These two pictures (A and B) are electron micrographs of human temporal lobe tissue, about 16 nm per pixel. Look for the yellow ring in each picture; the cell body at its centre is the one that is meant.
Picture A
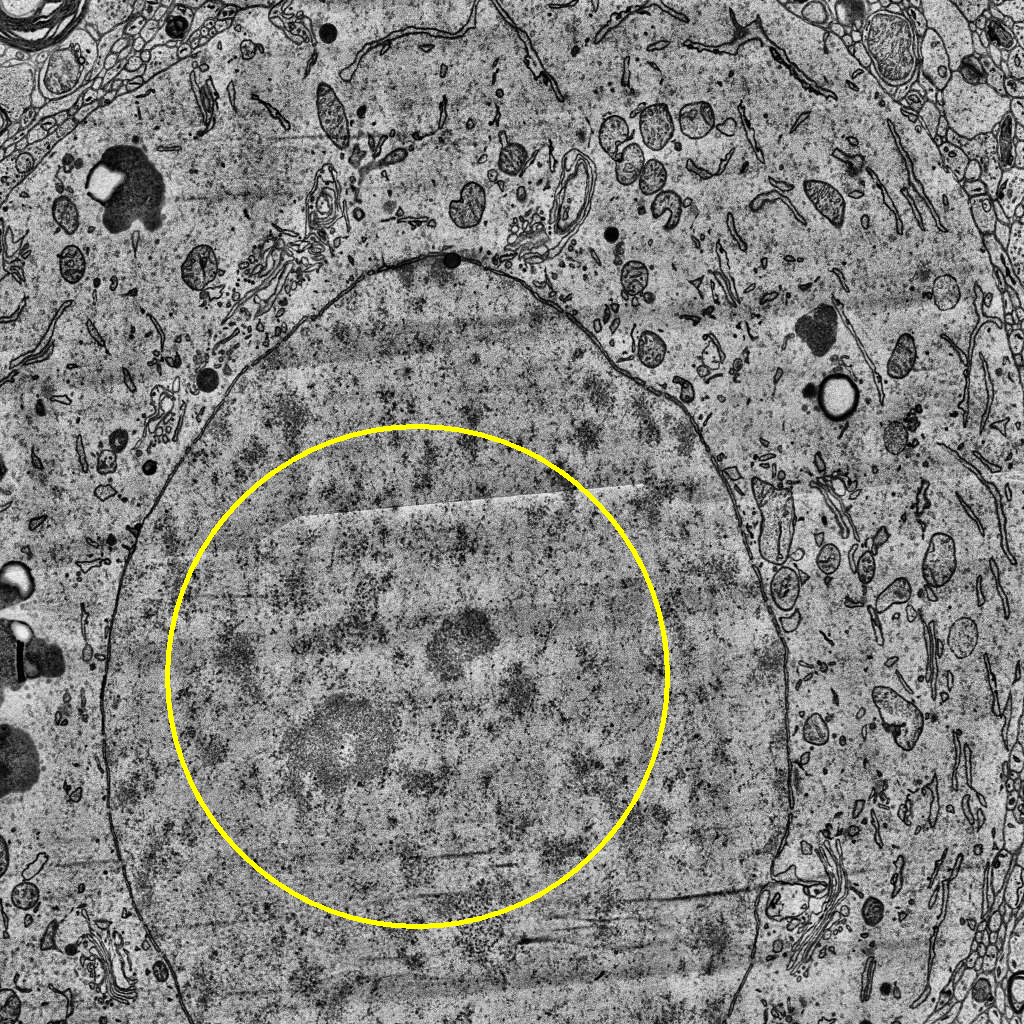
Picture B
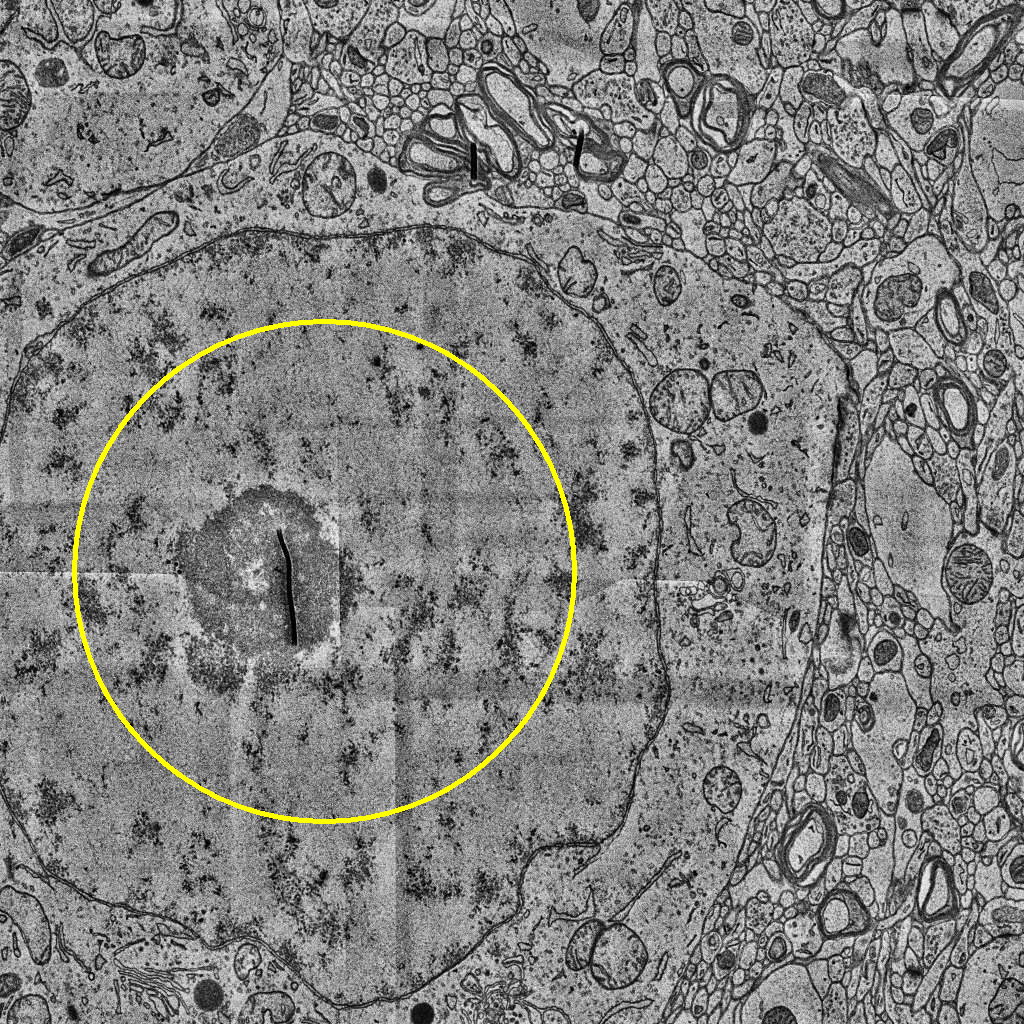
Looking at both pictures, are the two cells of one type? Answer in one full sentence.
Yes, both cells are pyramidal neurons.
